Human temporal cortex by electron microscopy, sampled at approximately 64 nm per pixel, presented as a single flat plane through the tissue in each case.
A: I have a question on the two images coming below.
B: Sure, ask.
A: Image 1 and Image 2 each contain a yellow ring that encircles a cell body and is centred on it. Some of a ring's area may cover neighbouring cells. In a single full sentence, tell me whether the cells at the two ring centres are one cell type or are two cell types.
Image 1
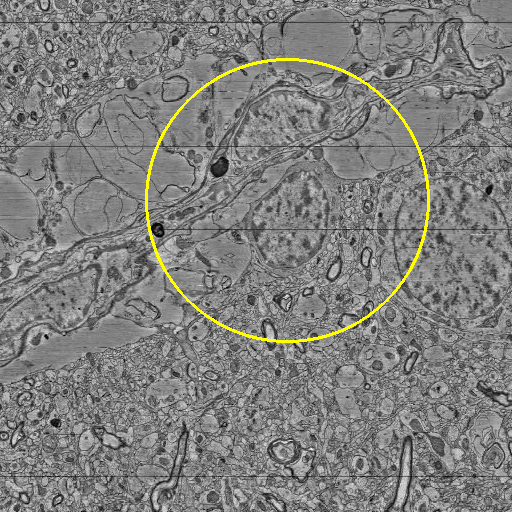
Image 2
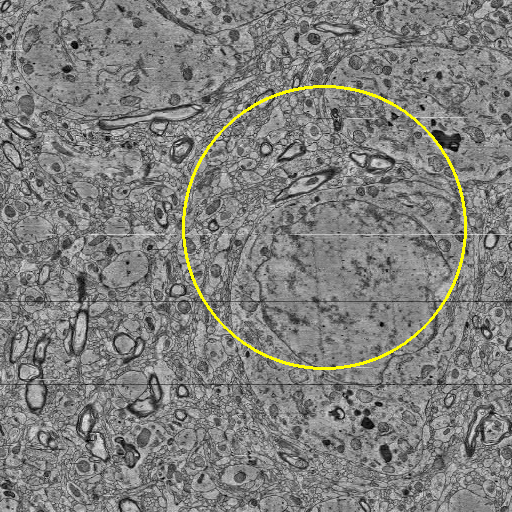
As for the ring-centre cells, the one in Image 1 and the one in Image 2 are two cell types.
